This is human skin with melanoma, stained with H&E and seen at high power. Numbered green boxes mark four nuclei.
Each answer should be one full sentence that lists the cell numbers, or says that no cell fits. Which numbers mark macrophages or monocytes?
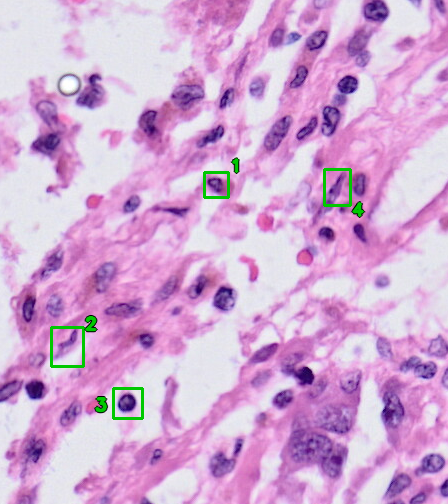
Among the marked cells, cell number 1 alone is a macrophage or monocyte.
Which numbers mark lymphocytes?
Among the numbered cells, a lymphocyte occurs only once, as cell 3.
